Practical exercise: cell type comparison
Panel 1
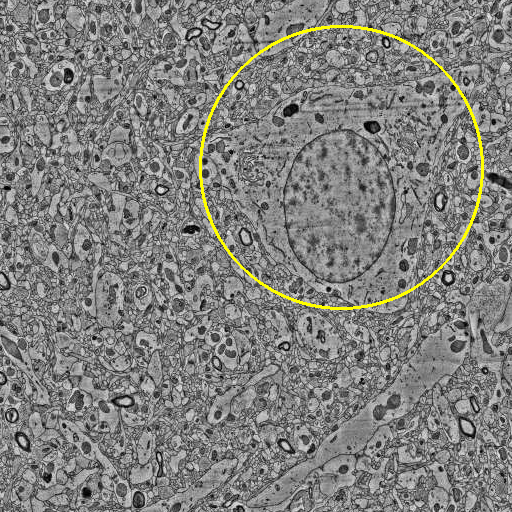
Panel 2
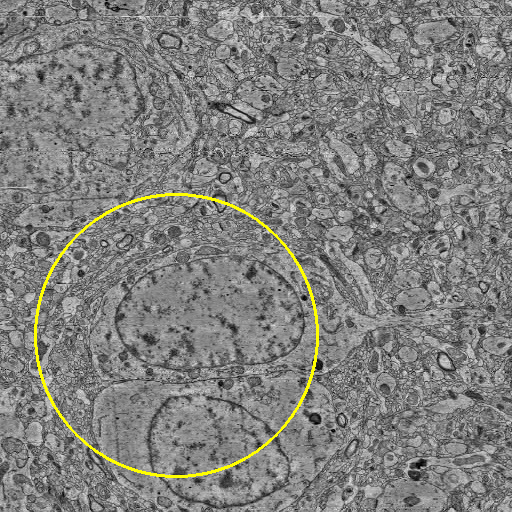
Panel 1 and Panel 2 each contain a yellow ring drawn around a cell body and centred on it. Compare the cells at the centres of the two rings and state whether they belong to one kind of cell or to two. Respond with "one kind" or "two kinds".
one kind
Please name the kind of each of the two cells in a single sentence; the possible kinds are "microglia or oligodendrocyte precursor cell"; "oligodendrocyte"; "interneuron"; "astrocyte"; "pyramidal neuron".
Each cell, in the first picture and the second, is a pyramidal neuron.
